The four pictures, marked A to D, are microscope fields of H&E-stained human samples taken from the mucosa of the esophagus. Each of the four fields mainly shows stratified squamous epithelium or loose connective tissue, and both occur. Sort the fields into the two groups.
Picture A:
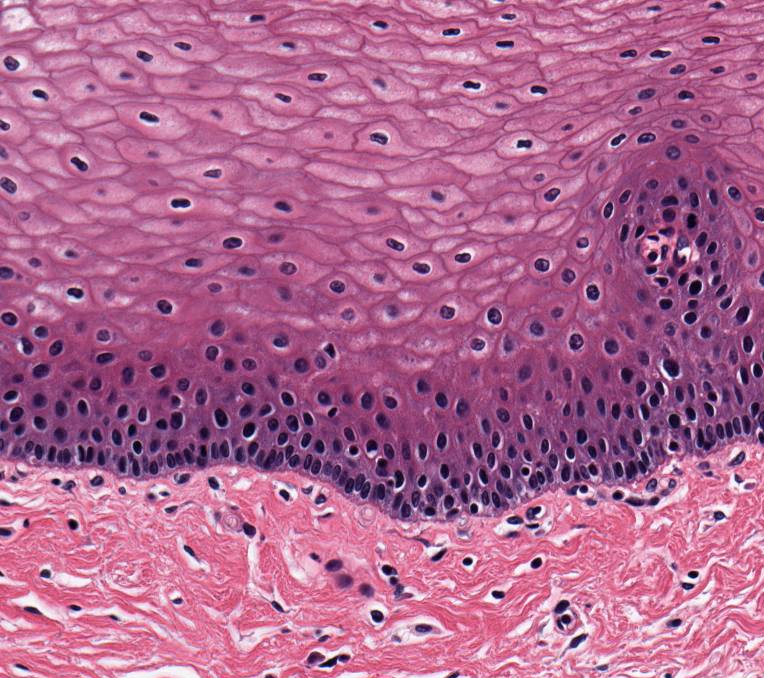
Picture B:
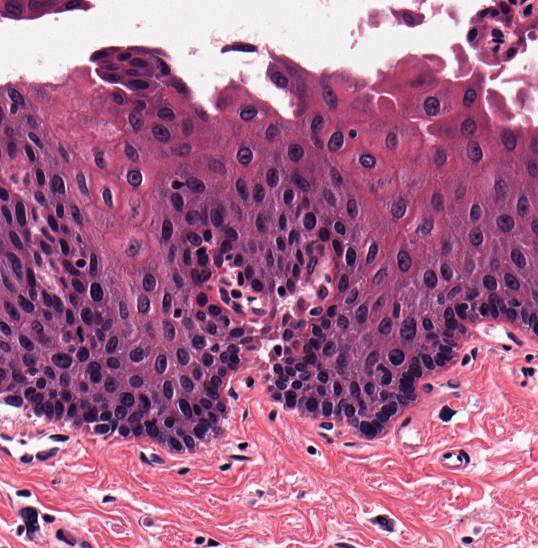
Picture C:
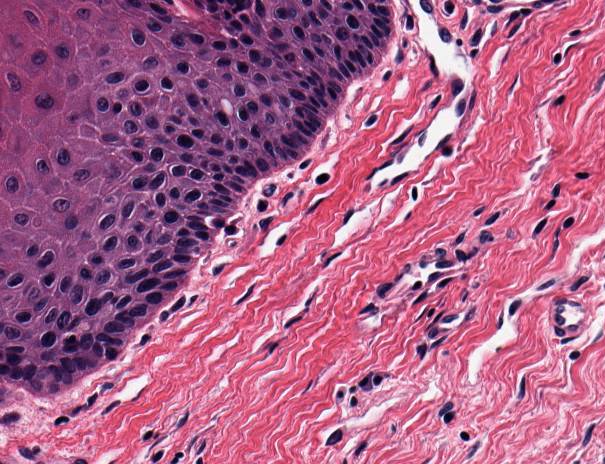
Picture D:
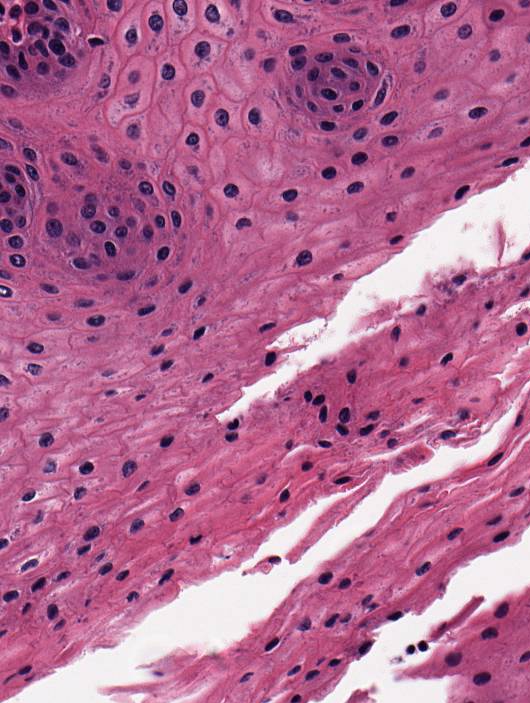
A: stratified squamous epithelium
B: stratified squamous epithelium
C: loose connective tissue
D: stratified squamous epithelium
